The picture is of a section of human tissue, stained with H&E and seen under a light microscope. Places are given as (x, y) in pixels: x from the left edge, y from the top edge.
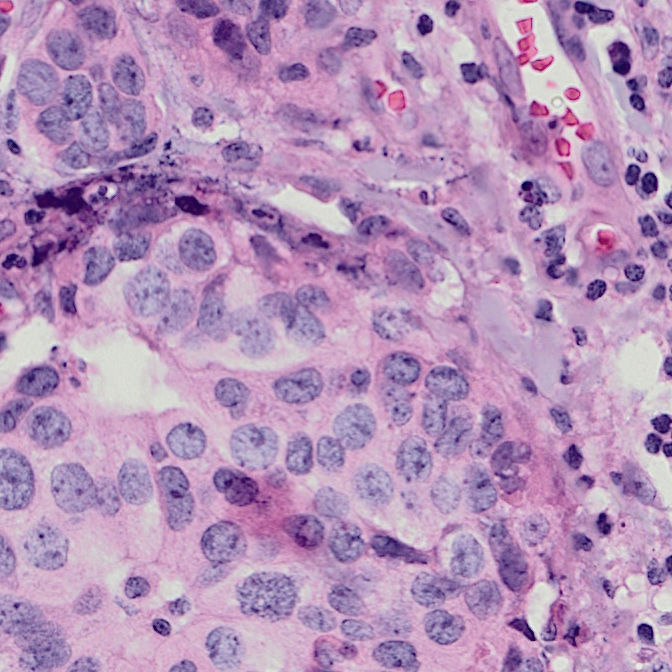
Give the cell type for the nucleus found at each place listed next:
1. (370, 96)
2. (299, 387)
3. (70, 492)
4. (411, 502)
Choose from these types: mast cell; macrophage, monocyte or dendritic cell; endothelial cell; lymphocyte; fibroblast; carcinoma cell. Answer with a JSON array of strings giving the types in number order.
["endothelial cell", "carcinoma cell", "carcinoma cell", "carcinoma cell"]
